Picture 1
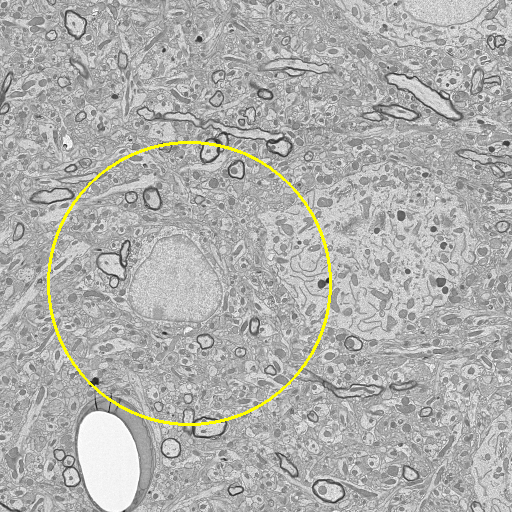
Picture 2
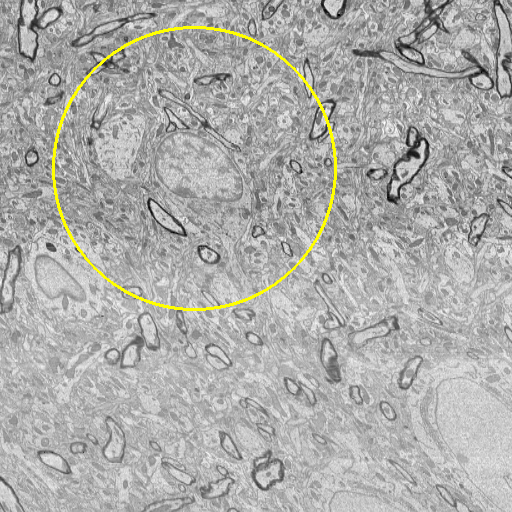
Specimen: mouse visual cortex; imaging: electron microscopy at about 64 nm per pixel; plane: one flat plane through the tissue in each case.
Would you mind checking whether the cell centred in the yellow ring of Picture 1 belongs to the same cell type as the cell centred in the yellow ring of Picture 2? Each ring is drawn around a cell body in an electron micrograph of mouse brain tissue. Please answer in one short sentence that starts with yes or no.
No, the two cells are of two types.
